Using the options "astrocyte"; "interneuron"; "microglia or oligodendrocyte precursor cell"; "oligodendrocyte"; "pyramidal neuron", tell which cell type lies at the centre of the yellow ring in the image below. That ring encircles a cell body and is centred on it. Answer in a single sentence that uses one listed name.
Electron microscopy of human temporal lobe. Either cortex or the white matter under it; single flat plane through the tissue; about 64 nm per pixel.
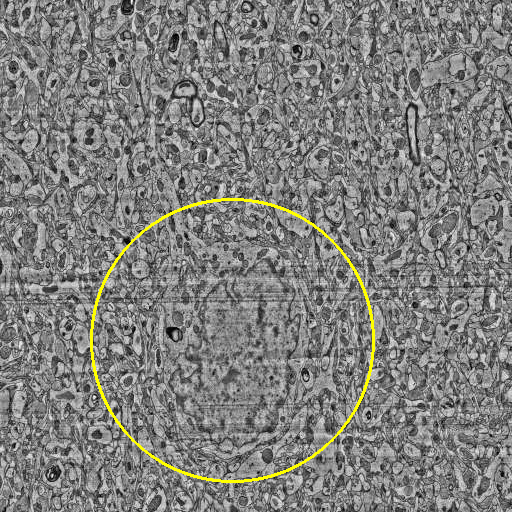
At the centre of the yellow ring lies the body of an interneuron.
